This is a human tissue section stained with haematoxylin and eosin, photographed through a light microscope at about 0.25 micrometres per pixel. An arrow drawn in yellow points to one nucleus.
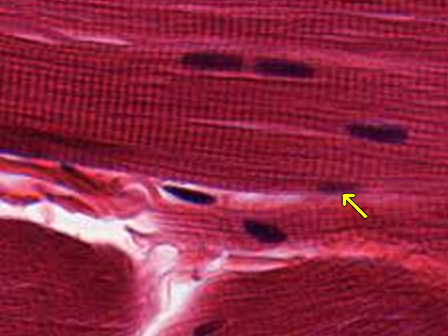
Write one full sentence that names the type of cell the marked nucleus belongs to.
In this section, the marked nucleus is that of a skeletal muscle fibre.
